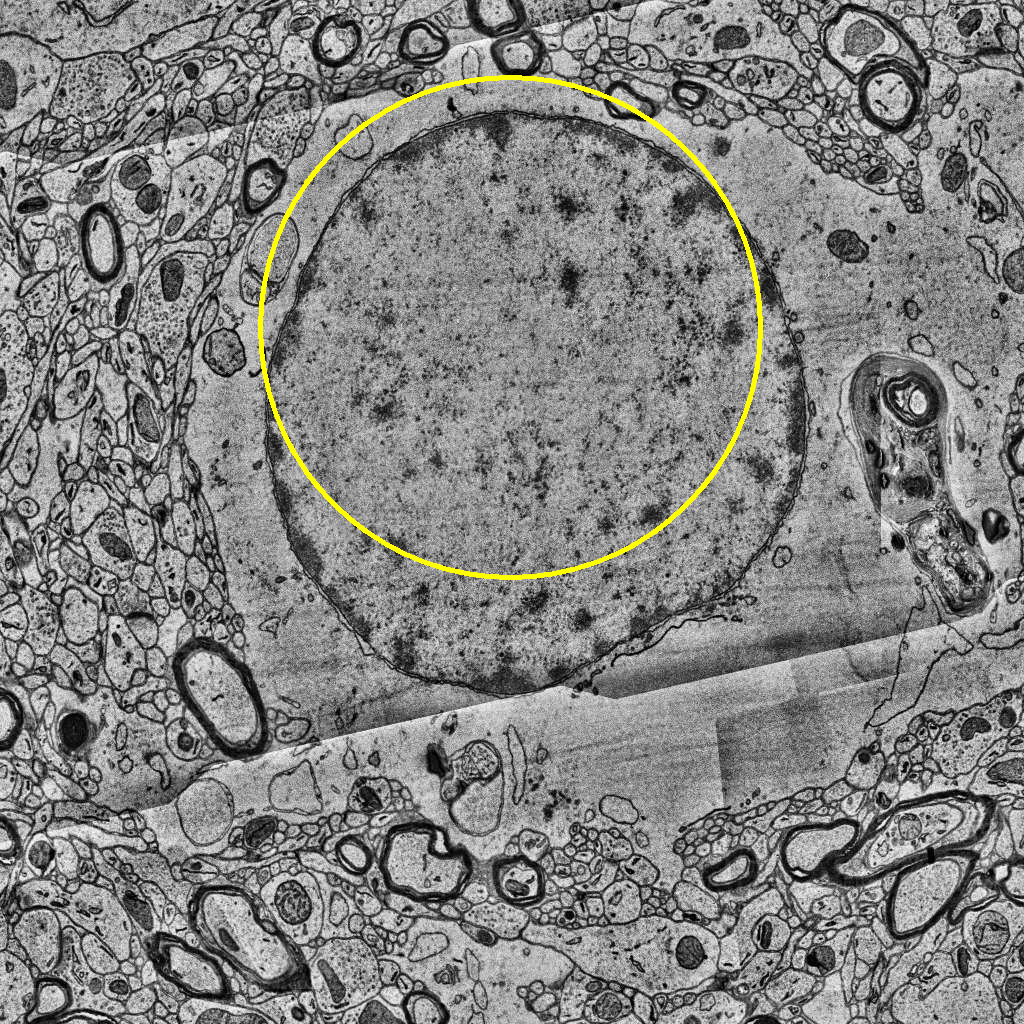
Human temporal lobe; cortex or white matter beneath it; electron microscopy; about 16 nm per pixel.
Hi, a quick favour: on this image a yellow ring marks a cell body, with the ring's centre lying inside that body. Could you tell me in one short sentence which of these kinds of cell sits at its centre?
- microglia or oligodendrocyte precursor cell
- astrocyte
The ring's centre lies in an astrocyte.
